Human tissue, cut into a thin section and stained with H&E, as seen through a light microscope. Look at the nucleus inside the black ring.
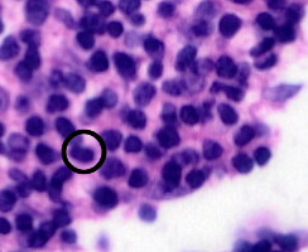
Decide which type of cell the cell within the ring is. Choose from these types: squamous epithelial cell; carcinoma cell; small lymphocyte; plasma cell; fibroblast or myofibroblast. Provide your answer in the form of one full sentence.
The classification of the cell within the ring is as a small lymphocyte.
